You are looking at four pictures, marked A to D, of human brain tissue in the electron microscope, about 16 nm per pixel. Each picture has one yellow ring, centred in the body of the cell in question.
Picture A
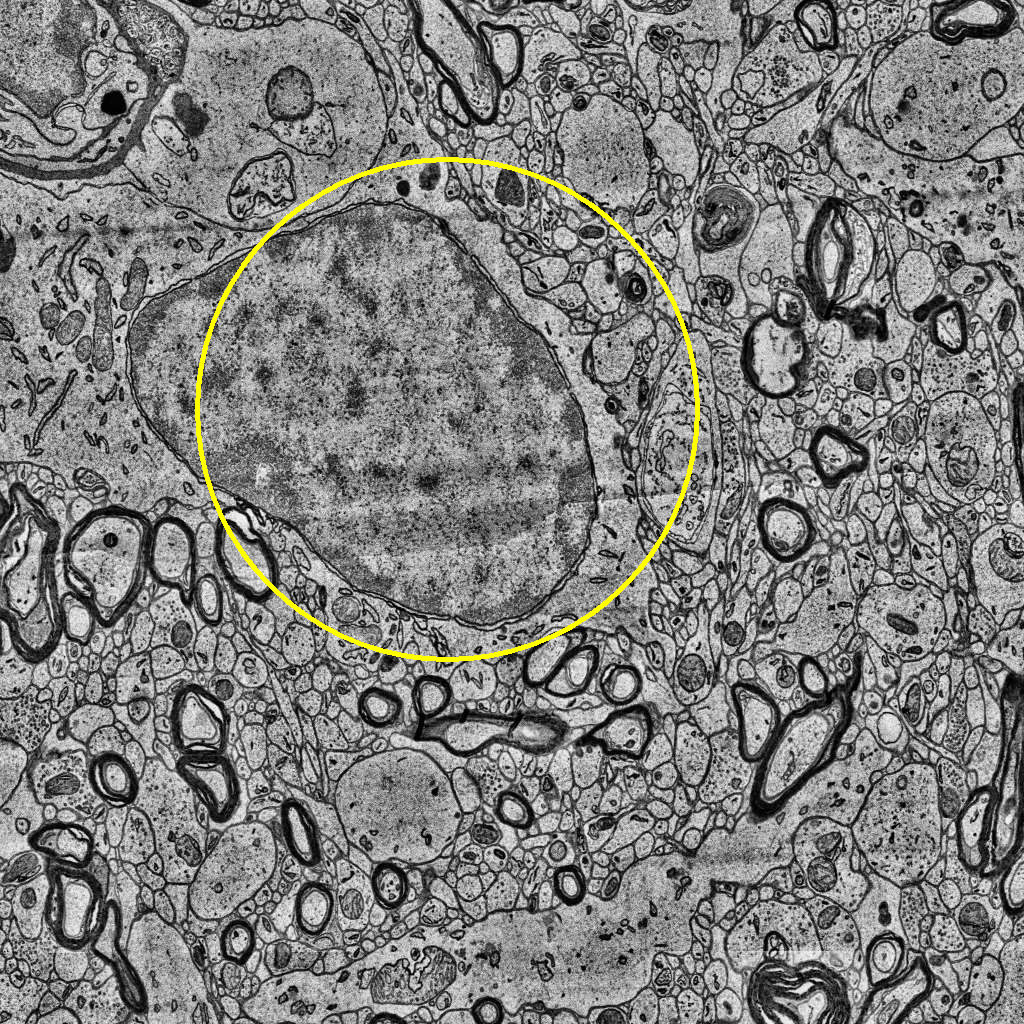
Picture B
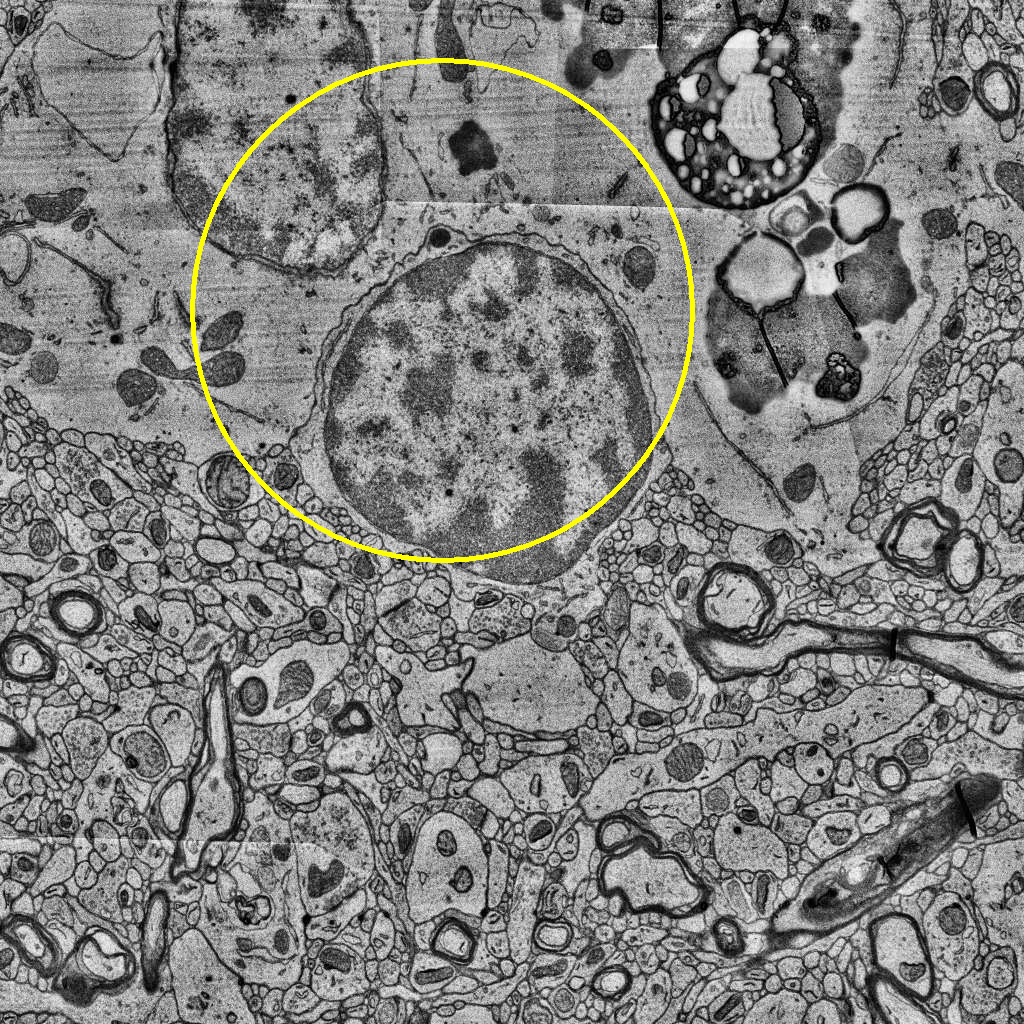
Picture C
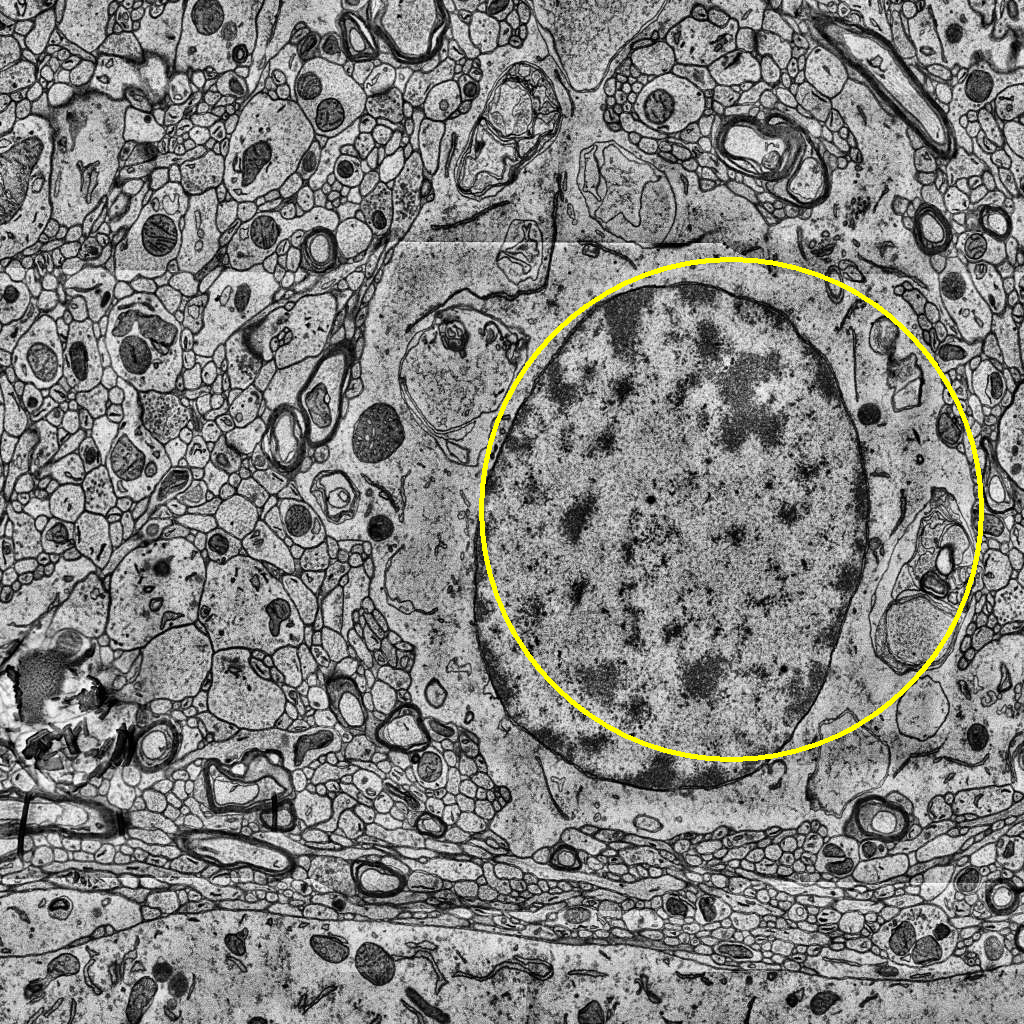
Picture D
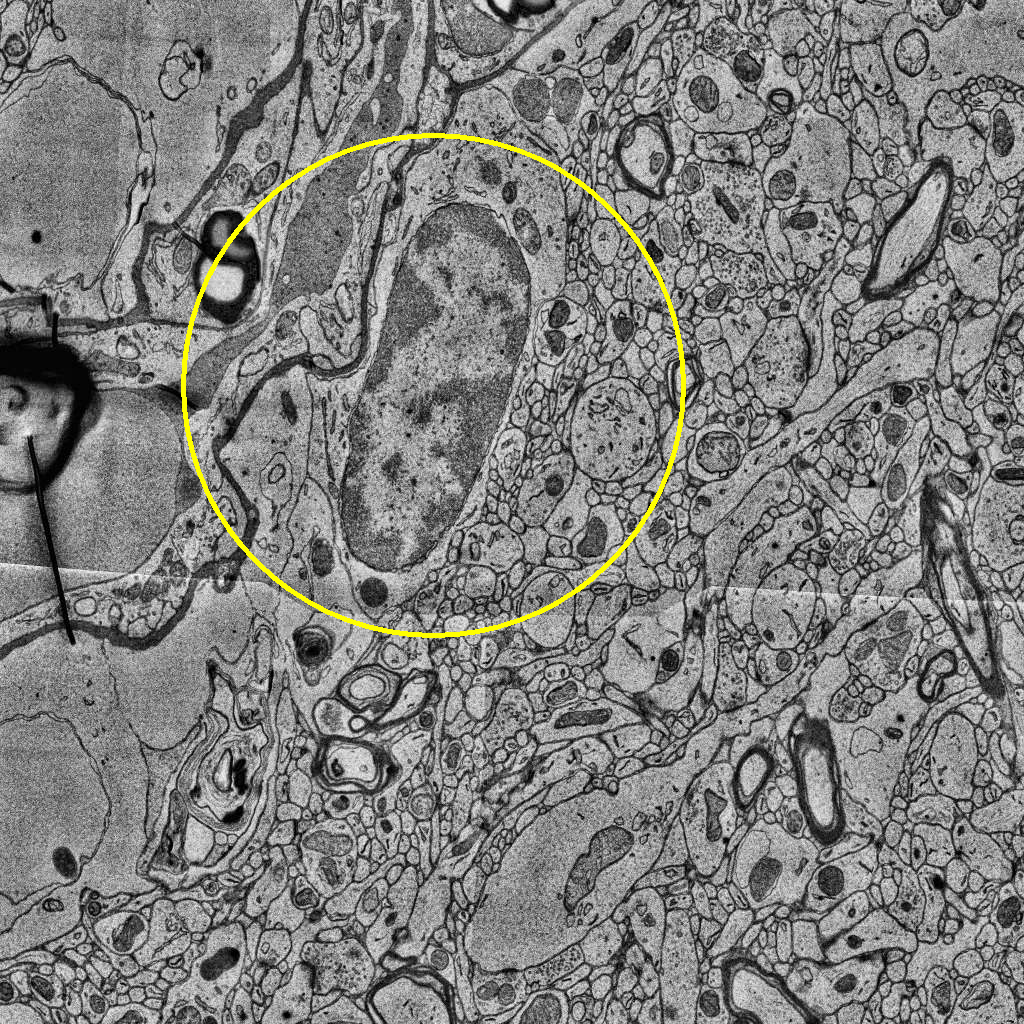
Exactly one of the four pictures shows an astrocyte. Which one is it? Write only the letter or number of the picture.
C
